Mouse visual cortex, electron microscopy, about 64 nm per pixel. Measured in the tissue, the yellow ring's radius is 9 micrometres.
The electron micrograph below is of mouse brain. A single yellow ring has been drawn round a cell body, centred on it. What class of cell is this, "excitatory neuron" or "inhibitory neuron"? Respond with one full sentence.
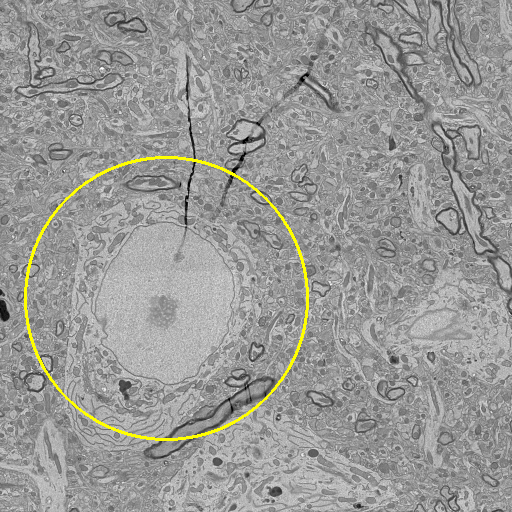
In the micrograph, the cell centred inside the yellow ring is an inhibitory neuron.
